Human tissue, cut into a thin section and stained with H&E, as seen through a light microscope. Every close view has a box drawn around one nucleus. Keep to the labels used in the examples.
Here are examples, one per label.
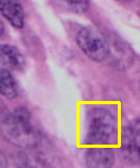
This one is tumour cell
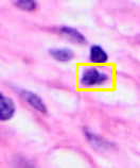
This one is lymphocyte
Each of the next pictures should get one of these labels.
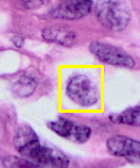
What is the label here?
tumour cell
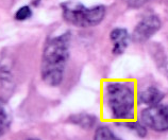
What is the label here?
tumour cell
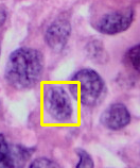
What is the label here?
tumour cell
